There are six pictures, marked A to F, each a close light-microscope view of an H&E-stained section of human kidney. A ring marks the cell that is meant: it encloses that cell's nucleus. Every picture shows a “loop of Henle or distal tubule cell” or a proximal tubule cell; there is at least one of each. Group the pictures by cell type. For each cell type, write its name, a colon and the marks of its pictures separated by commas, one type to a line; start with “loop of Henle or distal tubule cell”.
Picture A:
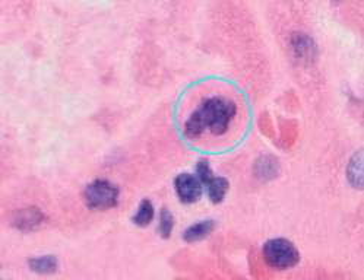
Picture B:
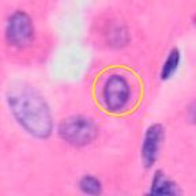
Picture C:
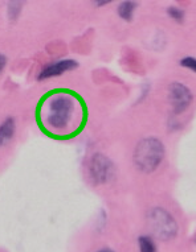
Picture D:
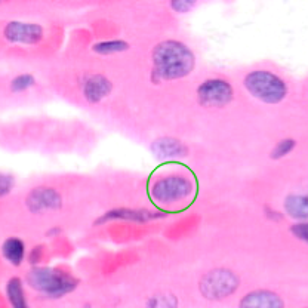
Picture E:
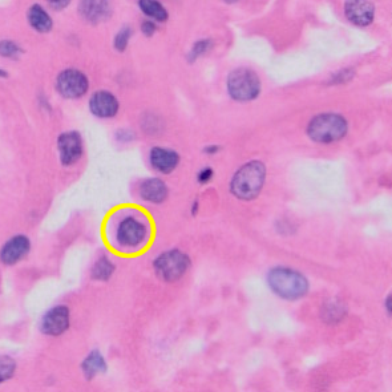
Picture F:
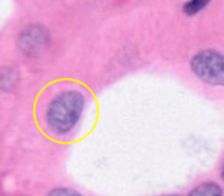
loop of Henle or distal tubule cell: C, D, E, F
proximal tubule cell: A, B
